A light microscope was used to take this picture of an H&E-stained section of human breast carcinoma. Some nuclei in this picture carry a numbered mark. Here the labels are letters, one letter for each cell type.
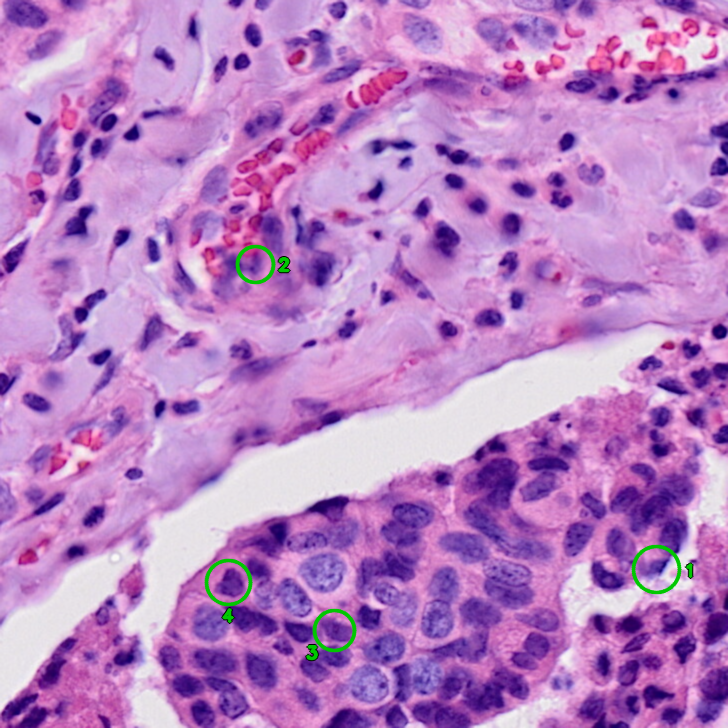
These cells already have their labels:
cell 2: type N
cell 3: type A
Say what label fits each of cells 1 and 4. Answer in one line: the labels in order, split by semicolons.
type A; type A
